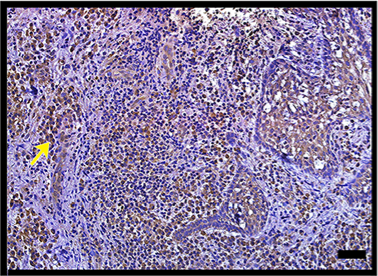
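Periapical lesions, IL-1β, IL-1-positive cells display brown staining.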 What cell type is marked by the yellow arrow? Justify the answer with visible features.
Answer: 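Crowded small round cells with dark nuclei. Many of the small cells are brown.
Hence: inflammatory cells.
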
